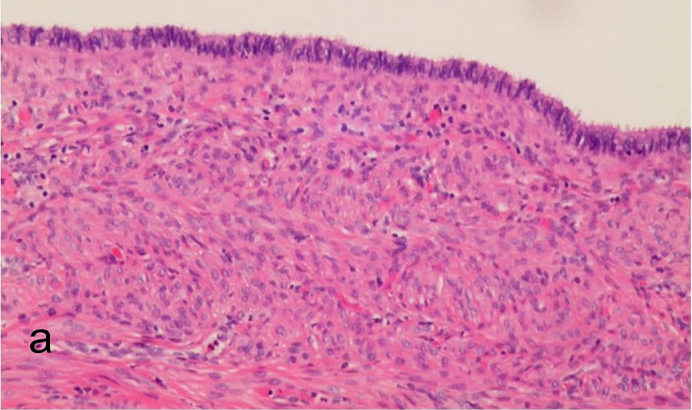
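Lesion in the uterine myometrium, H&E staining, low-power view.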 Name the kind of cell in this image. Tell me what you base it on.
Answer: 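A single row of tall columnar cells lines the free surface. Their nuclei sit at different heights, giving a crowded, layered look. A fine fringe is visible along the apical surface of the lining cells.
Answer: tubal-like pseudostratified ciliated columnar epithelial cells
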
